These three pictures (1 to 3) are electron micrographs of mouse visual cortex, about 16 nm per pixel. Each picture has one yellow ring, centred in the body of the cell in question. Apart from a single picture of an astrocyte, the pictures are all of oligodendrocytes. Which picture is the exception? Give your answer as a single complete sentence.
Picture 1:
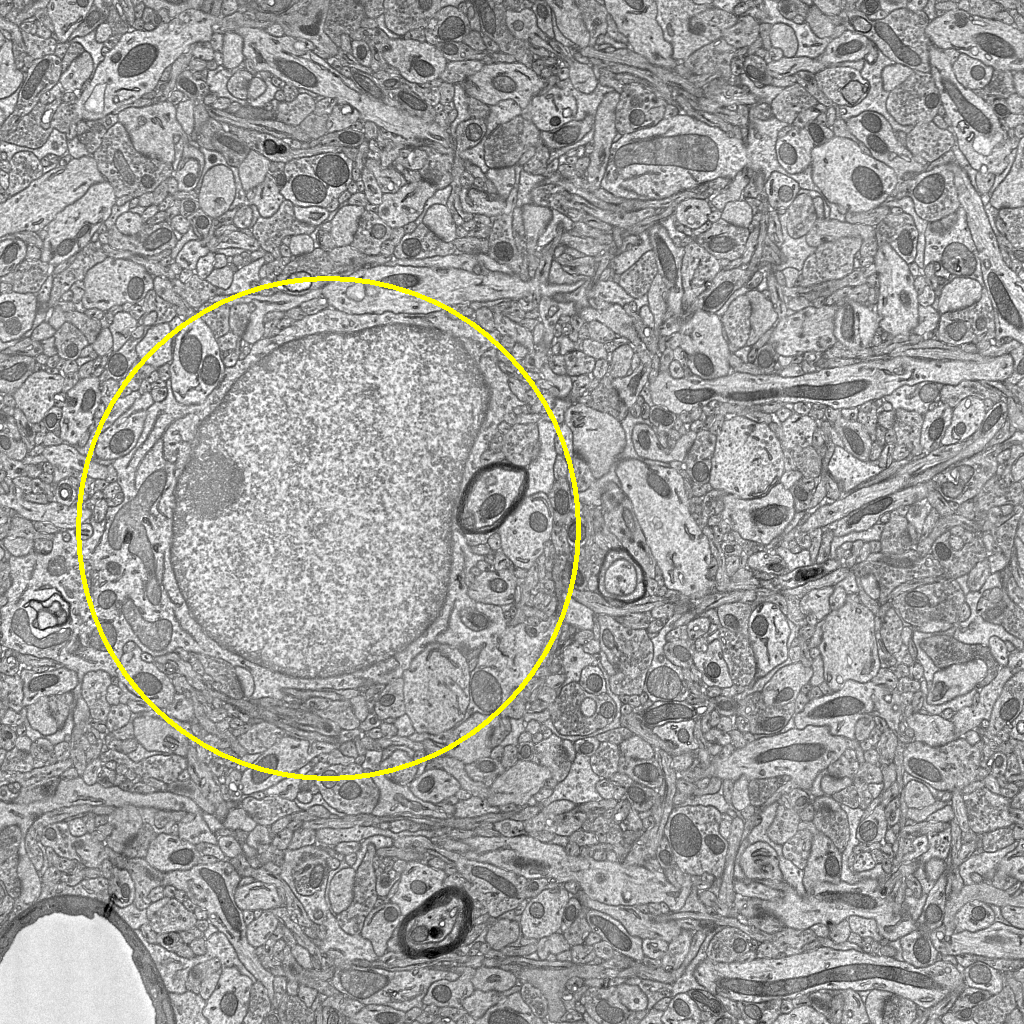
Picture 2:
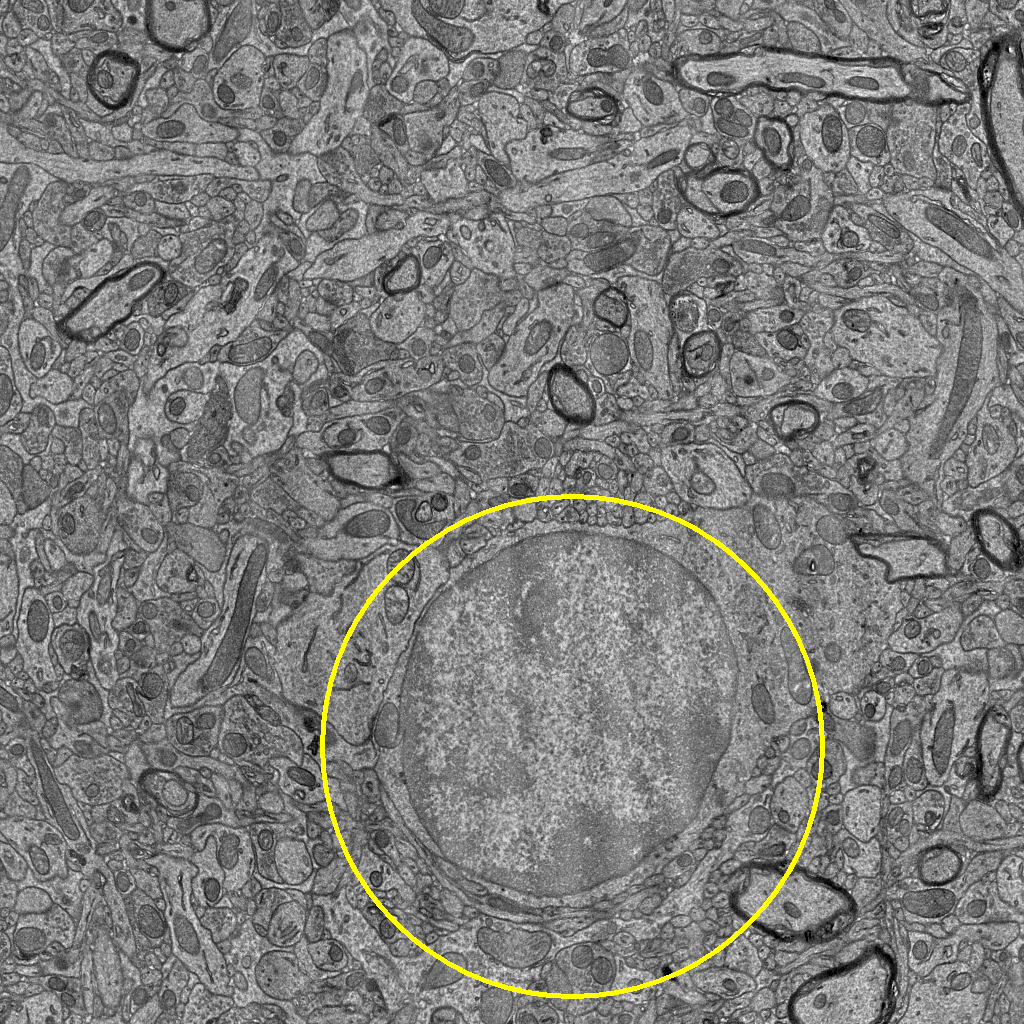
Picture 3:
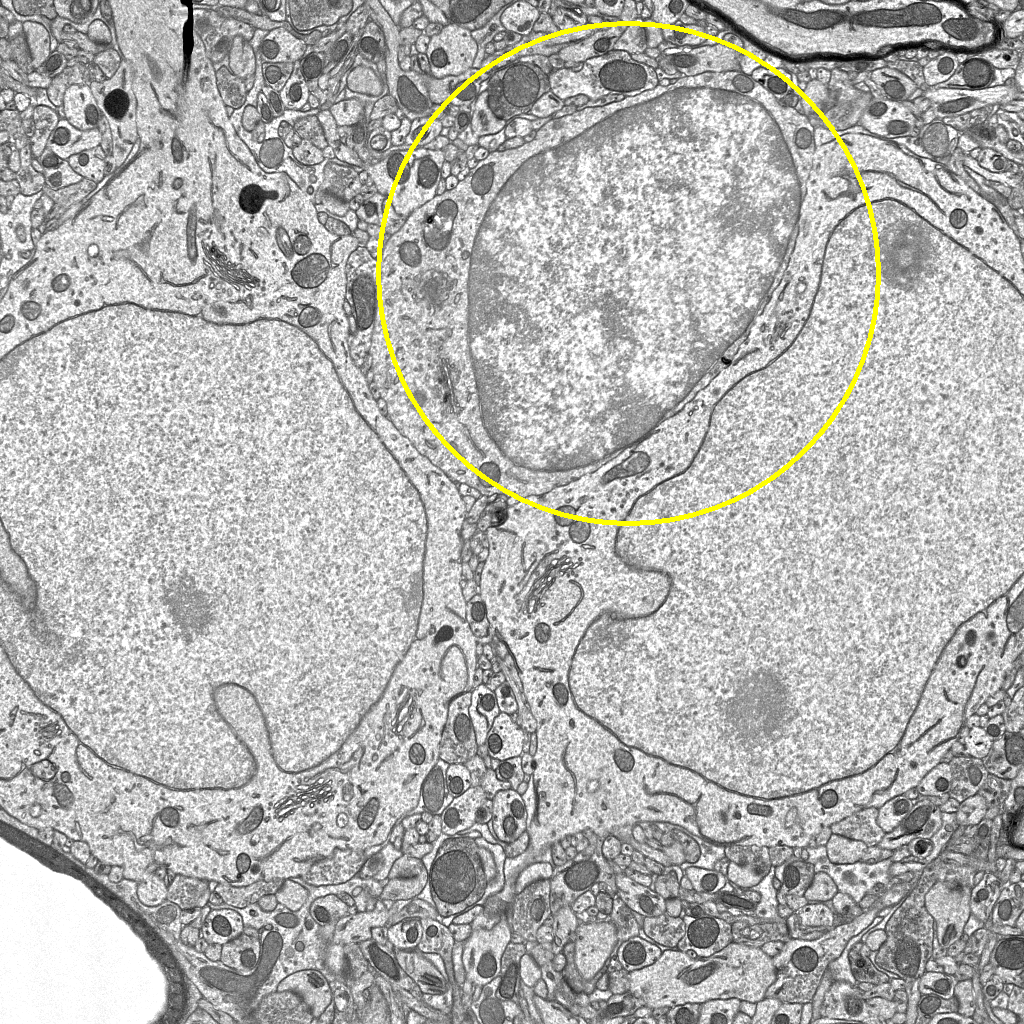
The astrocyte is the one in picture 1.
